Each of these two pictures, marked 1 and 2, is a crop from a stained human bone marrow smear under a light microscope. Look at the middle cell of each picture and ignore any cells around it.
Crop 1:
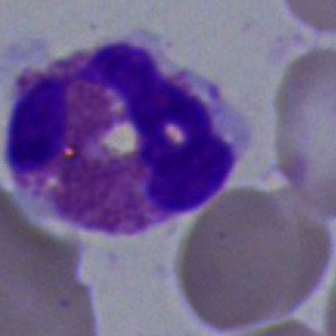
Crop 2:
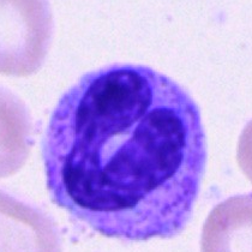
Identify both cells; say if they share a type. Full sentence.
No, whereas crop 1 shows an eosinophil, crop 2 shows a band neutrophil.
